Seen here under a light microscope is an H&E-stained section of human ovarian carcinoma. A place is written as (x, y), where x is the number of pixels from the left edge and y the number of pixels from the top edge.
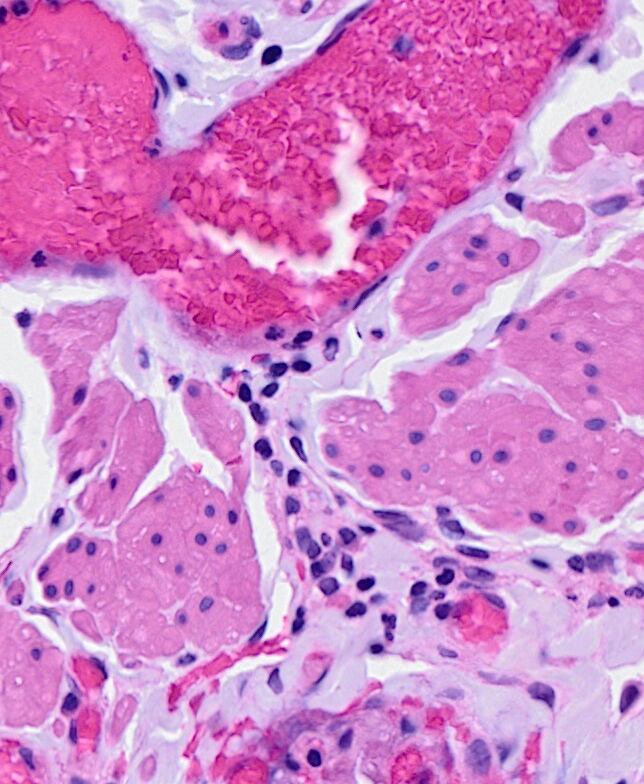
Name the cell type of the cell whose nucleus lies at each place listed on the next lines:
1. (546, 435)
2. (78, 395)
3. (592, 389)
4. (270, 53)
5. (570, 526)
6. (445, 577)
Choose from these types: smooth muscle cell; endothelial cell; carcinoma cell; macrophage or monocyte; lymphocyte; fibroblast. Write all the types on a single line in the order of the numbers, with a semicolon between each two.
smooth muscle cell; smooth muscle cell; smooth muscle cell; lymphocyte; smooth muscle cell; lymphocyte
